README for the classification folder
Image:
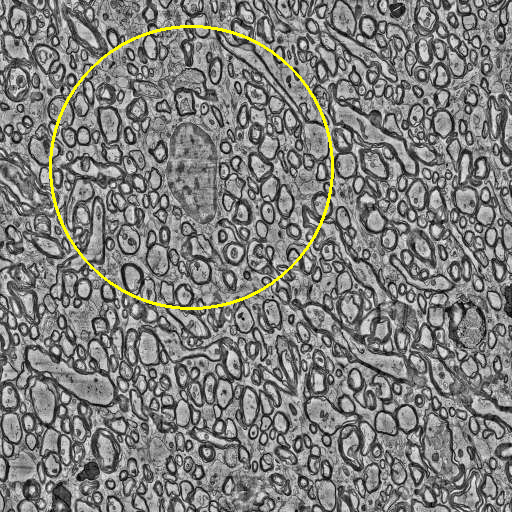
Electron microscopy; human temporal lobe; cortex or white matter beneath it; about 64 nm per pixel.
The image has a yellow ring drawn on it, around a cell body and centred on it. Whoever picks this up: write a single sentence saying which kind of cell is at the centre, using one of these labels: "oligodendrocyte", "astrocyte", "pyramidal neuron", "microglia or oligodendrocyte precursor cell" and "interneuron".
This cell body is that of a microglial cell or oligodendrocyte precursor cell.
